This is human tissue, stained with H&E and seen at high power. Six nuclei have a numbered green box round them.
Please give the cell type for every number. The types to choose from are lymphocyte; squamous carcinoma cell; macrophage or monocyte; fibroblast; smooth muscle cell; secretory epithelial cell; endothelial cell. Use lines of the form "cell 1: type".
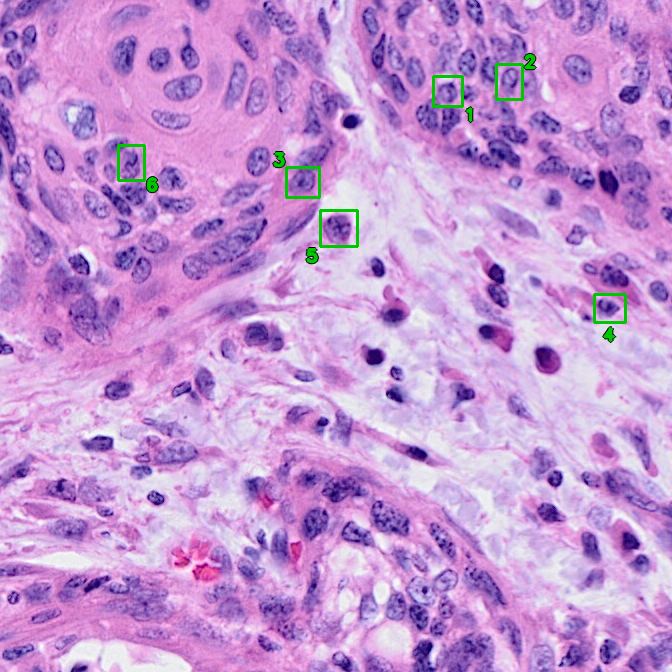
cell 1: squamous carcinoma cell
cell 2: squamous carcinoma cell
cell 3: squamous carcinoma cell
cell 4: lymphocyte
cell 5: macrophage or monocyte
cell 6: squamous carcinoma cell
